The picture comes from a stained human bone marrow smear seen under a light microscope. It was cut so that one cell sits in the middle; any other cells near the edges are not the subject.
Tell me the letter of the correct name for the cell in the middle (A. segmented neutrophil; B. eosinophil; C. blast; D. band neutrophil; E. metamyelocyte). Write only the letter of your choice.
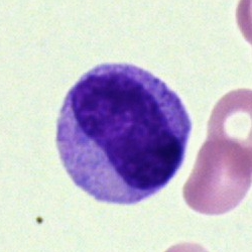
E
